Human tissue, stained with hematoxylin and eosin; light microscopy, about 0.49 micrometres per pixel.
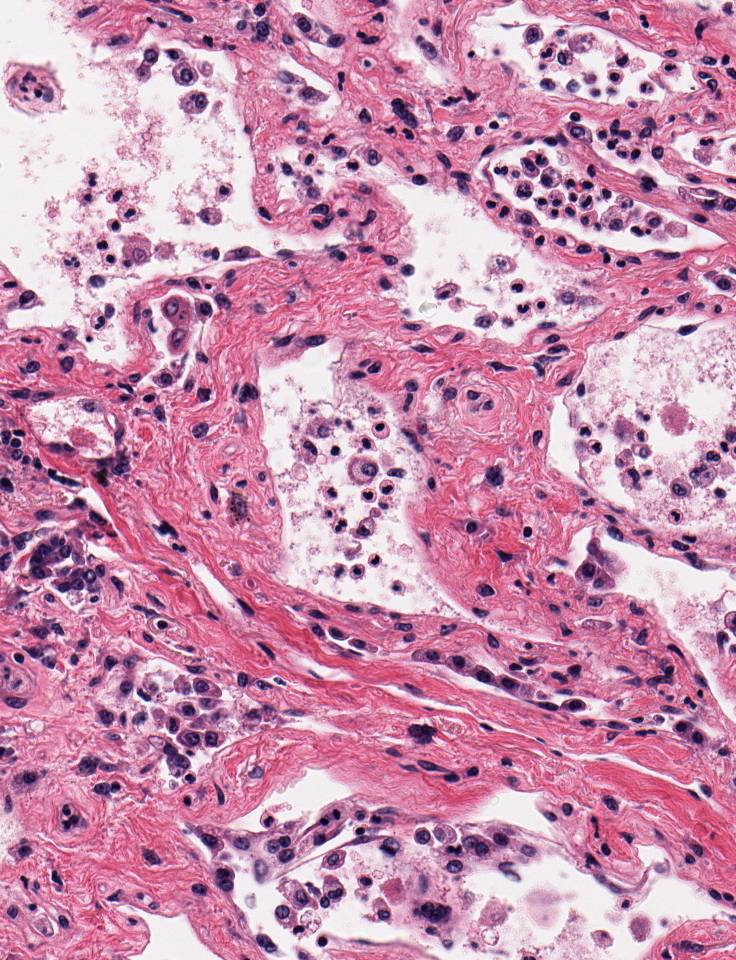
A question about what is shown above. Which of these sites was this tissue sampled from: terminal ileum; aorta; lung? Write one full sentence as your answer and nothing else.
The sampling site of this tissue was the lung.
